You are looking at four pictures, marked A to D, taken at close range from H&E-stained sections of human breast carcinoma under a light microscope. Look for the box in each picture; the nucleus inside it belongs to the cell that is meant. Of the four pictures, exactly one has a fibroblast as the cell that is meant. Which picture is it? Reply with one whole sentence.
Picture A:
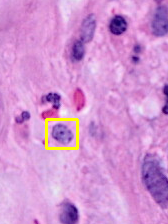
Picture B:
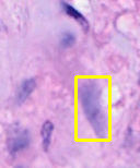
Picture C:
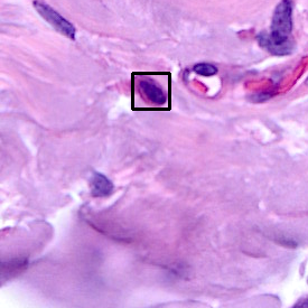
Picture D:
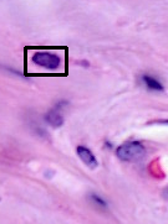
It is picture B that shows the fibroblast.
